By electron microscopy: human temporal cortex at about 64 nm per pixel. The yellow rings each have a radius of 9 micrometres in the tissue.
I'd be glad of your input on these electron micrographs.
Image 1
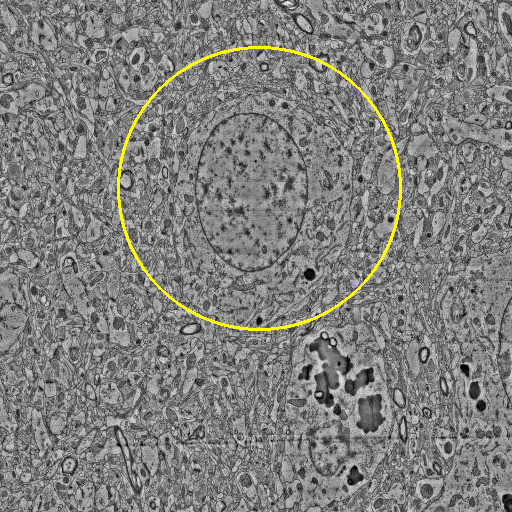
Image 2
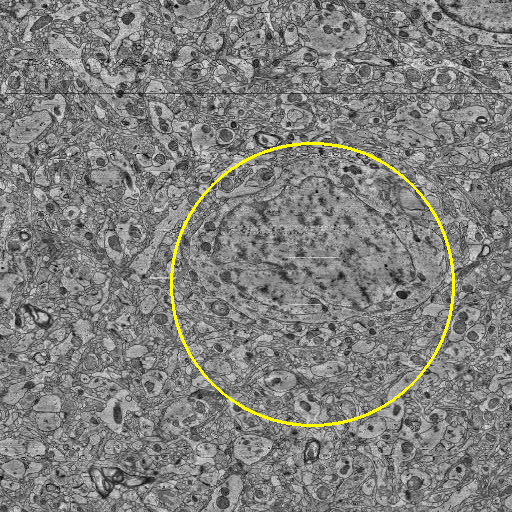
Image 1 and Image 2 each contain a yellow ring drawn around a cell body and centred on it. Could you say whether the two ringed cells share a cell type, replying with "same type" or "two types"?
two types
